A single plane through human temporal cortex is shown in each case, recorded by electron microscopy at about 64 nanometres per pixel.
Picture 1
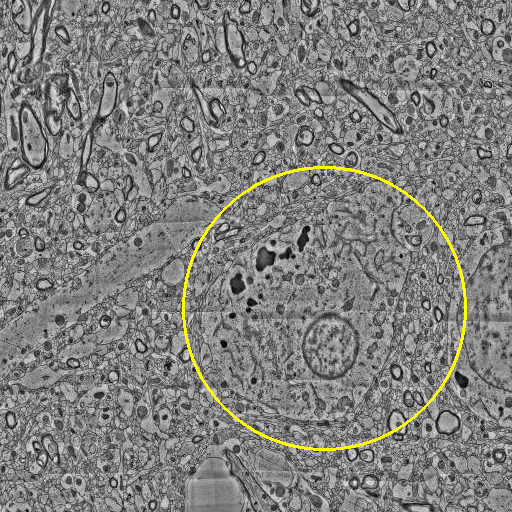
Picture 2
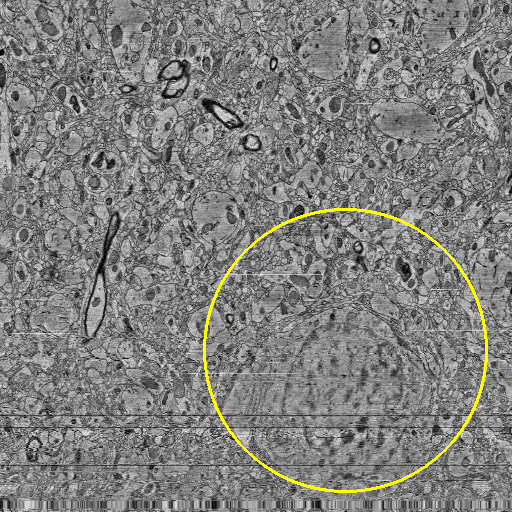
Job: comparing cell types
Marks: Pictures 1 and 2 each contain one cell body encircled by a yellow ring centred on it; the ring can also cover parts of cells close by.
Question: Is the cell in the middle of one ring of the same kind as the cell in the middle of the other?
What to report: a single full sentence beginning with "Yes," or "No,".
No, the cell at the ring centre in Picture 1 and its partner in Picture 2 are of two kinds.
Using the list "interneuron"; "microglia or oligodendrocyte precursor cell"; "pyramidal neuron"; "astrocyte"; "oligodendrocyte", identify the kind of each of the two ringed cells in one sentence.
The first is a pyramidal neuron and the second is an interneuron.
